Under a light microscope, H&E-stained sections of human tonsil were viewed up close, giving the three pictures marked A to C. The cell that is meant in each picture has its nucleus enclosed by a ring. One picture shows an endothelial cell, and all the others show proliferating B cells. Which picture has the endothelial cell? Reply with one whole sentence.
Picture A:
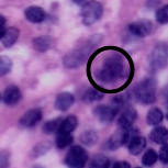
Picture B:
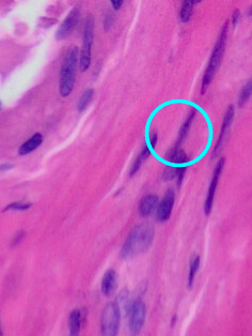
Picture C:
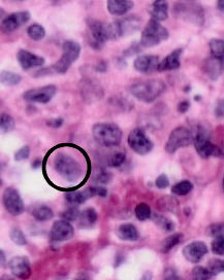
The endothelial cell is the one in picture B.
